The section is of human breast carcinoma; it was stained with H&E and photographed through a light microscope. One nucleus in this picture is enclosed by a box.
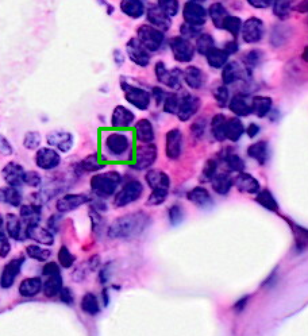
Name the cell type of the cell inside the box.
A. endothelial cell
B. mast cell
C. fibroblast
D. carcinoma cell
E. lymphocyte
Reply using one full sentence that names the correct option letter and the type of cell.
Option E correctly identifies the cell inside the box as a lymphocyte.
